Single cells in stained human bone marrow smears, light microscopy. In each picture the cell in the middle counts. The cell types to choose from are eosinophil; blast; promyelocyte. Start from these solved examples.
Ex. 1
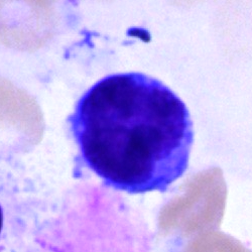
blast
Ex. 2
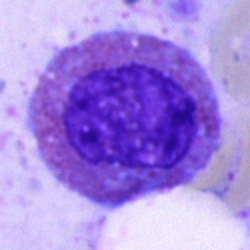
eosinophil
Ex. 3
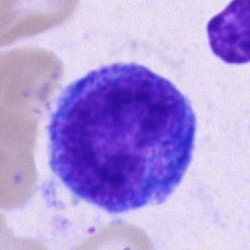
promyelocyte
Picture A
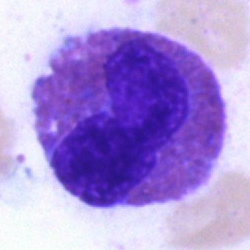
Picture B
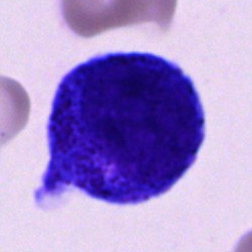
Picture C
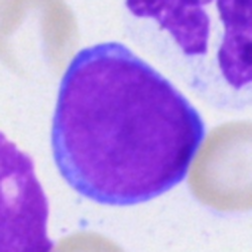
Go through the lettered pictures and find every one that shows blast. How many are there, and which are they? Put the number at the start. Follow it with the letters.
Count: 1 (C)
